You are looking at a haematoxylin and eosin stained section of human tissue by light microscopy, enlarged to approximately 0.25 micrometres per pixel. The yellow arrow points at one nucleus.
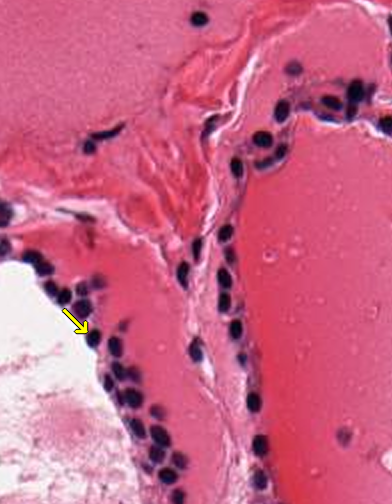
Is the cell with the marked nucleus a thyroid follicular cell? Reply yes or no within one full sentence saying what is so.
Yes, here the marked nucleus belongs to a thyroid follicular cell.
